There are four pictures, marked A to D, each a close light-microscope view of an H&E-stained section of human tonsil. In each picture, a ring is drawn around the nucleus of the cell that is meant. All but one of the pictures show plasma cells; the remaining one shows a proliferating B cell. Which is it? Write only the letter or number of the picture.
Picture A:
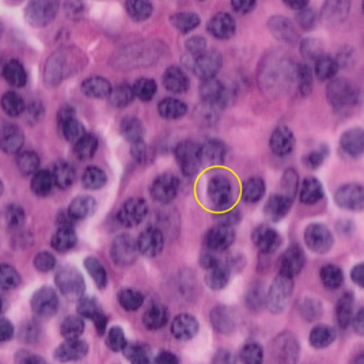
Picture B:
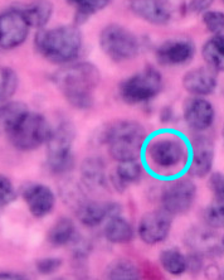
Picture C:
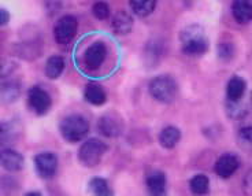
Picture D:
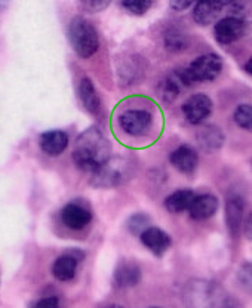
B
